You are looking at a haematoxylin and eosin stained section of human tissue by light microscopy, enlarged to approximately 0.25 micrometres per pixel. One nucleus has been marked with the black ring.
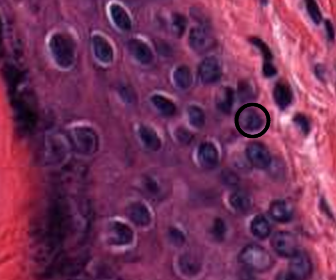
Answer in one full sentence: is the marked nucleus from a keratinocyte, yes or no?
Yes, the marked nucleus belongs to a keratinocyte in this image.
